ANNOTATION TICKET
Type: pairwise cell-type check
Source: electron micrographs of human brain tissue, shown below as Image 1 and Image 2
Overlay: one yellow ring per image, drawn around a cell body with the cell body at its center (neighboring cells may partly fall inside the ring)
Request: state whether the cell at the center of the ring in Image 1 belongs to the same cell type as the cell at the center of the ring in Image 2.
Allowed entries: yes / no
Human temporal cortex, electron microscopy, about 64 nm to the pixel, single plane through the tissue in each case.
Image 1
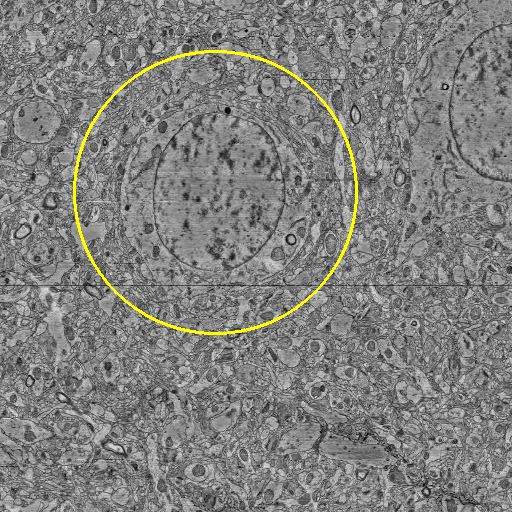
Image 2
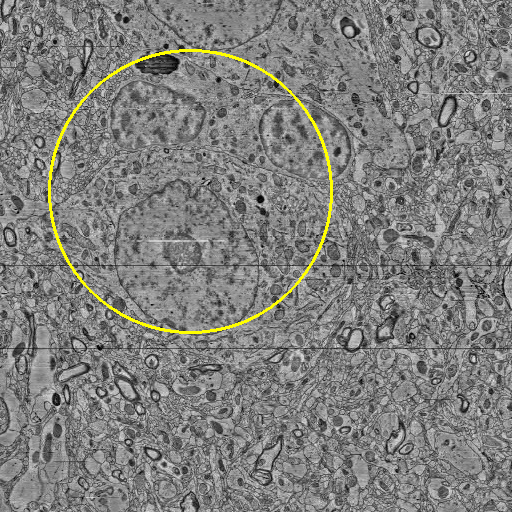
no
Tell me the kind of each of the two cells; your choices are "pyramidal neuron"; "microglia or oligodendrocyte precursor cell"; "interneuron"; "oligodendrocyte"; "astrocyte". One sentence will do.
The ringed cell is a pyramidal neuron in the first picture and an interneuron in the second picture.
